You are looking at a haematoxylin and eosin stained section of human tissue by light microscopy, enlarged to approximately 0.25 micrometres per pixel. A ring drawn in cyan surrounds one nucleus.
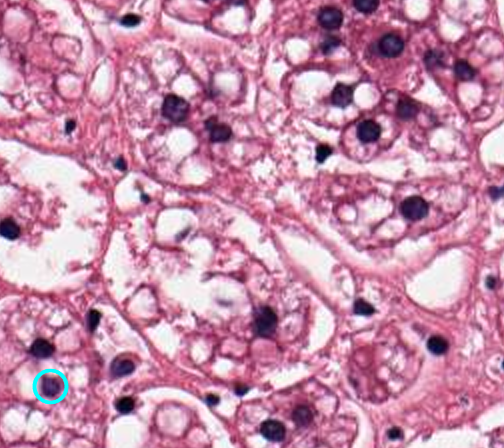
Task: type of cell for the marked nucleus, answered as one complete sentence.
Here the marked nucleus is part of an adrenal cortical cell.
